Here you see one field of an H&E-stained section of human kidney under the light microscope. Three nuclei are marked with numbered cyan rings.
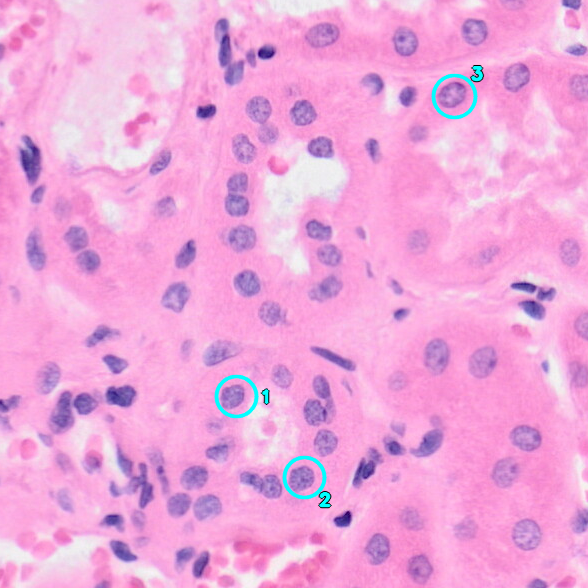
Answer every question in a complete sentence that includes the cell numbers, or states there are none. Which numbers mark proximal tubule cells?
Only at number 3 is there a proximal tubule cell among the marked cells.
